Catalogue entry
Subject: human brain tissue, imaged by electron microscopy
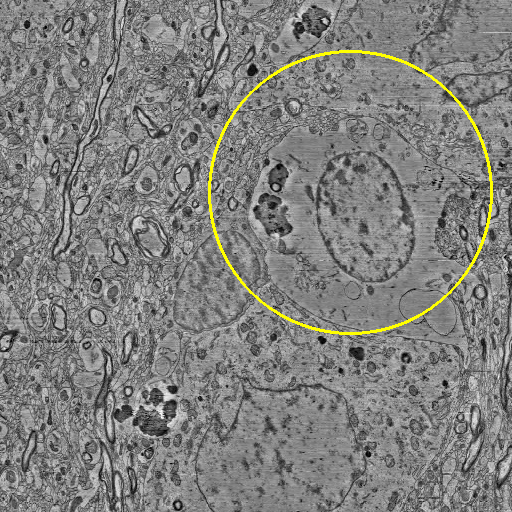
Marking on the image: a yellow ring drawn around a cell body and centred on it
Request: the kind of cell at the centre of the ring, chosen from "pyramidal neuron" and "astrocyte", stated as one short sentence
The ring has an astrocyte at its centre.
